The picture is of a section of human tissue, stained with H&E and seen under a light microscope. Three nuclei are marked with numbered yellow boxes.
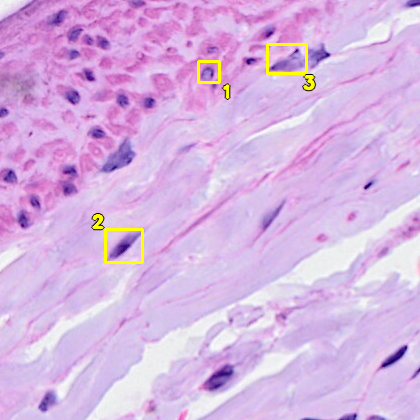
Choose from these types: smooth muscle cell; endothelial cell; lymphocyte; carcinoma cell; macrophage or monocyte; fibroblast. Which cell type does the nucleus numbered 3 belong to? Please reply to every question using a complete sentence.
The cell indicated with the number 3 is classed as a fibroblast.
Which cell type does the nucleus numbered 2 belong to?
As for number 2, that cell is a fibroblast.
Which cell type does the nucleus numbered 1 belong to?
The cell referenced by the number 1 is a smooth muscle cell in this field.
